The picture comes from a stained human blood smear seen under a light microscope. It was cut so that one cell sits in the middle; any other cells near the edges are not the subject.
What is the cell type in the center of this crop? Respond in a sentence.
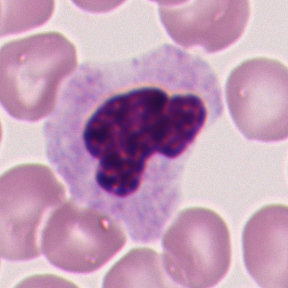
In the central position of this crop, the cell is a neutrophil.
